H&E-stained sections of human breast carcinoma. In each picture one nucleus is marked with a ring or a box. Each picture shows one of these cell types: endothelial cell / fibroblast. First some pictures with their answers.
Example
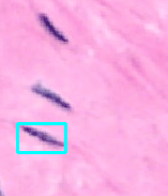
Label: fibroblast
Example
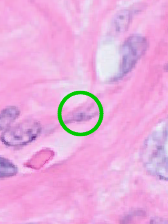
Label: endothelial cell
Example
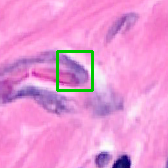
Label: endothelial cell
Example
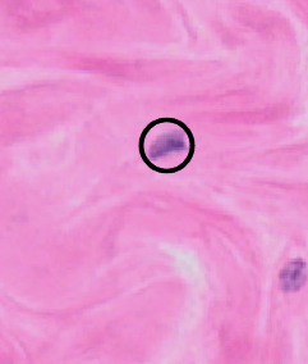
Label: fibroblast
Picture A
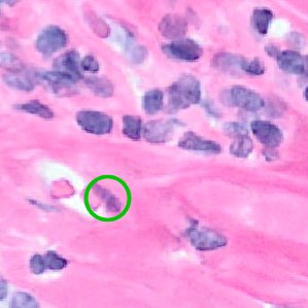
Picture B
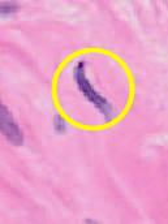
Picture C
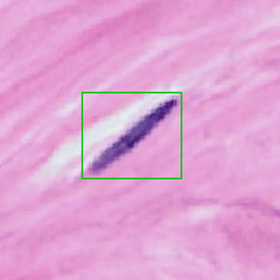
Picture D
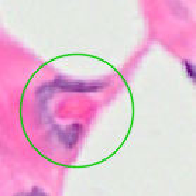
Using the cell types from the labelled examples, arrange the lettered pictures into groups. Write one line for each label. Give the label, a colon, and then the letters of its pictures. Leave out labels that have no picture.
endothelial cell: A, D
fibroblast: B, C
